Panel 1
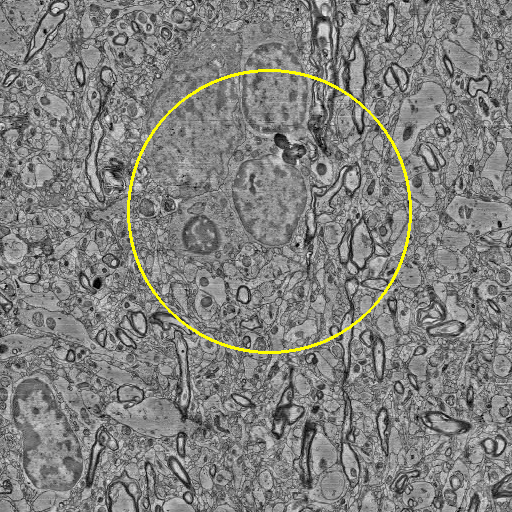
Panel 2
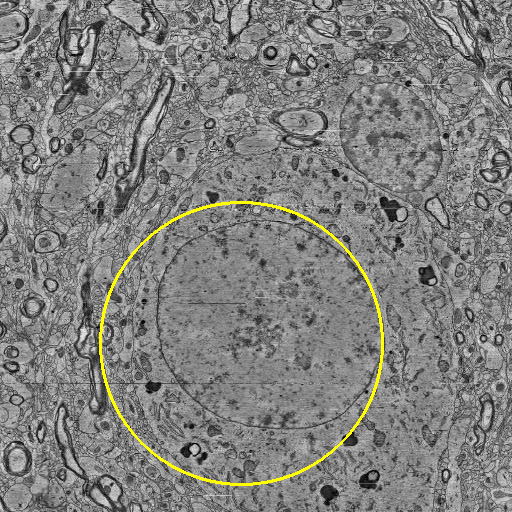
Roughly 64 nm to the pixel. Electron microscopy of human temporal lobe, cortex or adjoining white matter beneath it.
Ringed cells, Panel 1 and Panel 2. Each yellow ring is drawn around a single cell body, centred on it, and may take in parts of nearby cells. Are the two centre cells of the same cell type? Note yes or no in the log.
no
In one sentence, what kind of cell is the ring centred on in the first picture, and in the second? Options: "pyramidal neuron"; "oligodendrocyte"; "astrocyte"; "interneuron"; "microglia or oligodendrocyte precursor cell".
The cell at the centre of the second ring is a pyramidal neuron; the first ring's cell is an oligodendrocyte.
